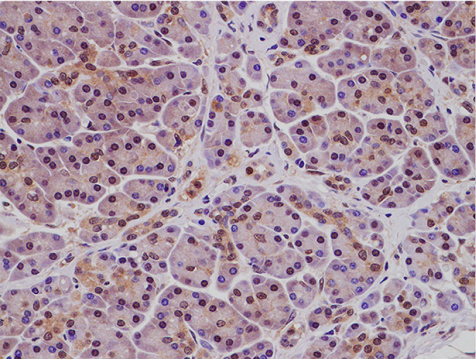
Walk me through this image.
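Normal pancreatic tissue made of closely packed acini of epithelial cells, divided into lobules by thin pale septa. Each acinus is a small rounded group of pyramidal cells with round, centrally to basally placed nuclei and ample finely granular cytoplasm. A few blue-stained elongated nuclei in the septa belong to thin connective tissue cells. The arrangement is regular, with no glands lying in a fibrous stroma.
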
